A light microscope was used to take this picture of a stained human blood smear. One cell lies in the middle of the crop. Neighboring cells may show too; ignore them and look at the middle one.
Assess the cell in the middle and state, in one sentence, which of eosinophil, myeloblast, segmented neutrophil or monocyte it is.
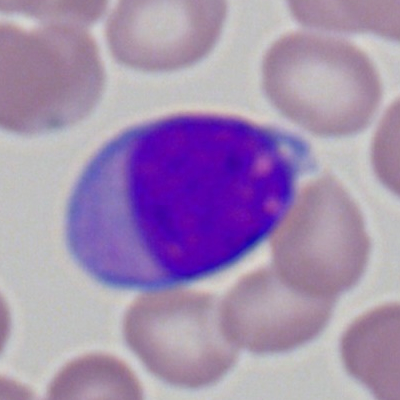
Centrally within this crop lies a myeloblast.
